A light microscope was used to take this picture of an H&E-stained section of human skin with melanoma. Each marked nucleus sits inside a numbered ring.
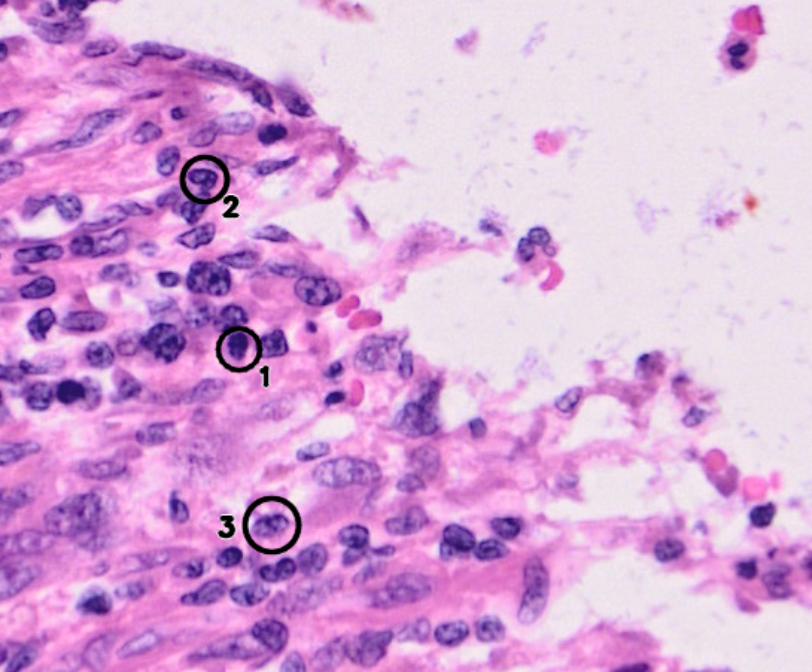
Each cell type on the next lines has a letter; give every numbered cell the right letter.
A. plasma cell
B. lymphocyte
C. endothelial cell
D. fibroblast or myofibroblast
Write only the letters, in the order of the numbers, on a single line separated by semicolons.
A; B; B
